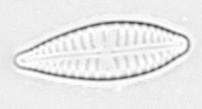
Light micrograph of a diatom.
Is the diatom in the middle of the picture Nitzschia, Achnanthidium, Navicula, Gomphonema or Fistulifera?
It is Gomphonema.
